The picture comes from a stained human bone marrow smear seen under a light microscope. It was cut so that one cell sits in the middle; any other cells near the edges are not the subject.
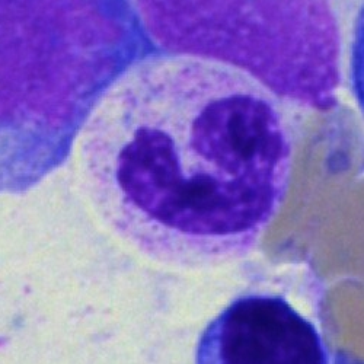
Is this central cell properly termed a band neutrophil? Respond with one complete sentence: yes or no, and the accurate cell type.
No, the central cell is not a band neutrophil, being instead a segmented neutrophil.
